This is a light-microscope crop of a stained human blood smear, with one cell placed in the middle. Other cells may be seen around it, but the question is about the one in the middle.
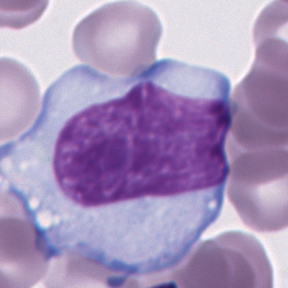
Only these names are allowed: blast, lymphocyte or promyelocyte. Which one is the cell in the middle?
blast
